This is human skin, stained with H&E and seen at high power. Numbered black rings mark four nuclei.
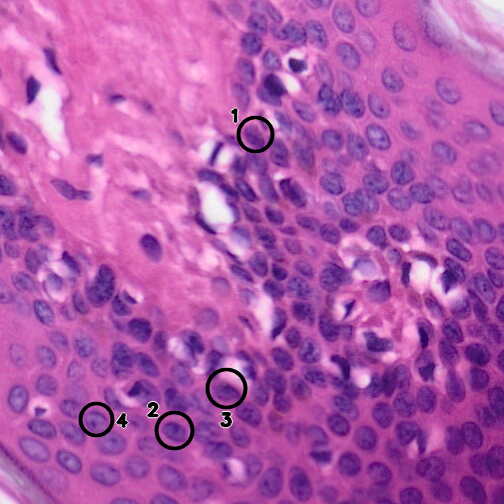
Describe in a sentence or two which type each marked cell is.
Cell 1 is a basal keratinocyte, cell 2 is a suprabasal keratinocyte, cell 3 is a basal keratinocyte and cell 4 is a suprabasal keratinocyte.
